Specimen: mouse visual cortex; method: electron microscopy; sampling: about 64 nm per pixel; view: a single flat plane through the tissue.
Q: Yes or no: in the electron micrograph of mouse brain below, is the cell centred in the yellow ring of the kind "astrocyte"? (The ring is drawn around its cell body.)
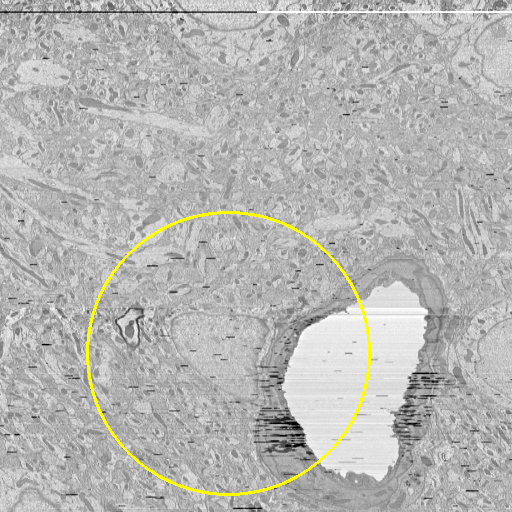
yes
